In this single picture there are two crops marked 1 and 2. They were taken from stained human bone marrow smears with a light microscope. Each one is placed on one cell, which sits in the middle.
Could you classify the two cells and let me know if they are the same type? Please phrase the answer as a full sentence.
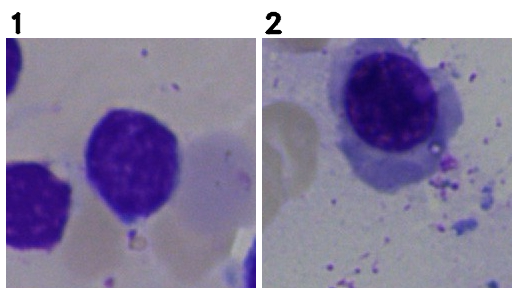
No, in this case crop 1 shows a lymphocyte, and crop 2 shows a normoblast.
